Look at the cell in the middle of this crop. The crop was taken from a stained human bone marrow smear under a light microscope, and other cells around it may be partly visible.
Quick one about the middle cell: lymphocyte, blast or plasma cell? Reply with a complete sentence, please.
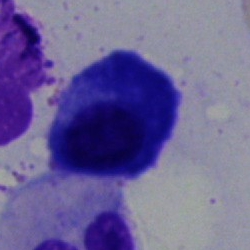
The cell positioned in the middle of the field is a plasma cell.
